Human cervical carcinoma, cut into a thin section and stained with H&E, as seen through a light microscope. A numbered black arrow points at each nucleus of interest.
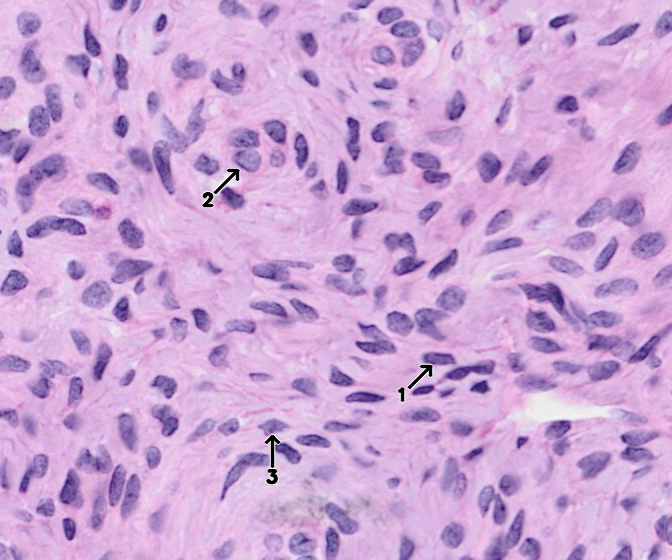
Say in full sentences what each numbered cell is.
Cells 1 and 3 are fibroblasts. Cell 2 is an endothelial cell.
